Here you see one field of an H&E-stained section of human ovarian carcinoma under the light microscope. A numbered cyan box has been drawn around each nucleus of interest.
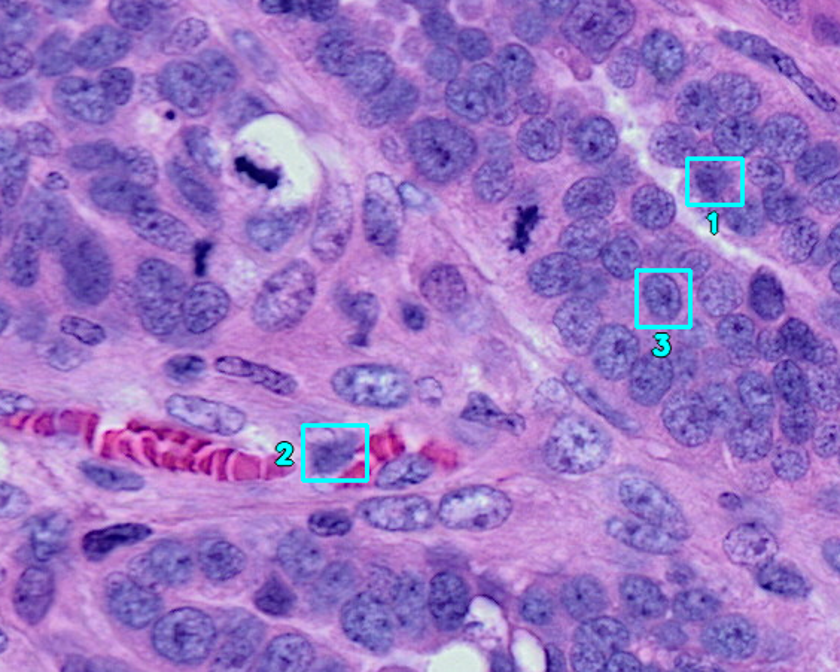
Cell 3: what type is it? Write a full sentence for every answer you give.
Classified as a carcinoma cell is the cell with the number 3.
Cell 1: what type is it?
Cell number 1 in this section is a carcinoma cell.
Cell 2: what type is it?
Here, the cell given the number 2 is an endothelial cell.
